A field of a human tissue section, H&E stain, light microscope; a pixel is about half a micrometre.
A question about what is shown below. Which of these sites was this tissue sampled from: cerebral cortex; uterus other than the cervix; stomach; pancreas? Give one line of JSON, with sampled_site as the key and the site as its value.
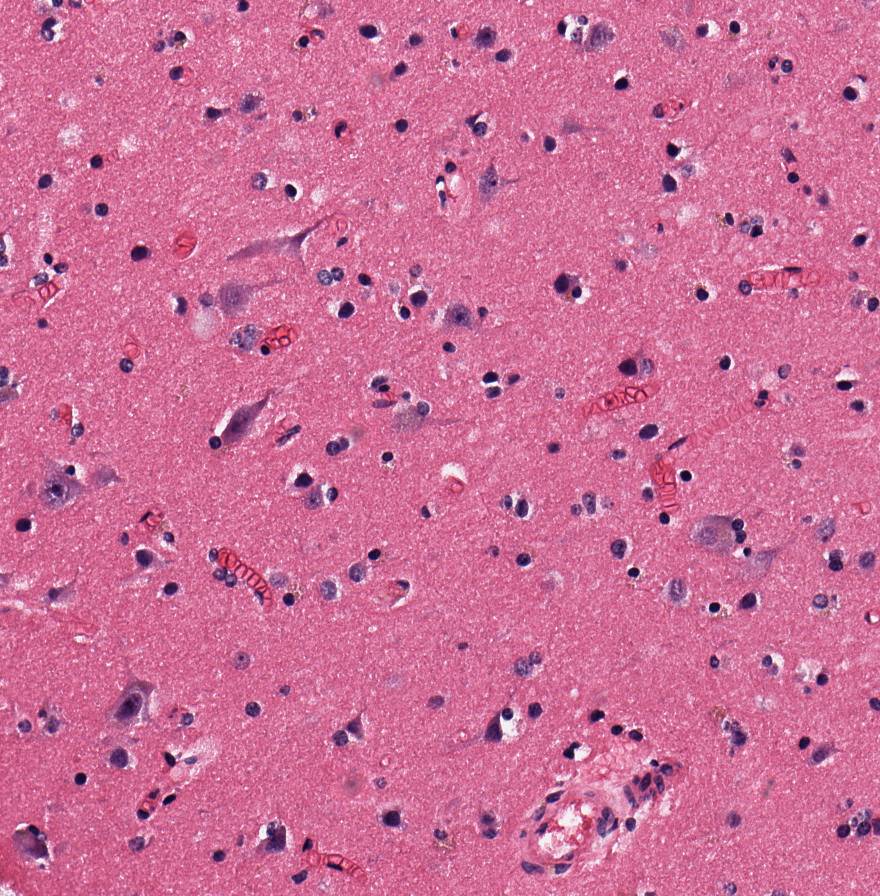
{"sampled_site": "cerebral cortex"}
